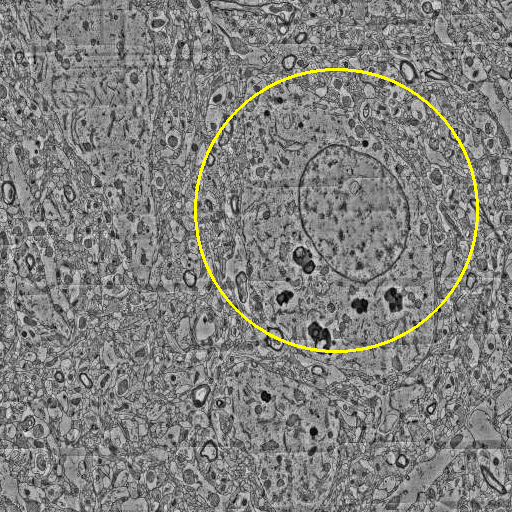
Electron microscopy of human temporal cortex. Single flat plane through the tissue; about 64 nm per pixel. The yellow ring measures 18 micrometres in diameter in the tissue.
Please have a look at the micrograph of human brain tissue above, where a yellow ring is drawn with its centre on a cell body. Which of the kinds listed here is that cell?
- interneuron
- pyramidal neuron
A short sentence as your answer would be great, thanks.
At the centre of the ring sits a pyramidal neuron.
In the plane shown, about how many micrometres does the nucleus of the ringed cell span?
In this plane, approximately 9 by 7 micrometers.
